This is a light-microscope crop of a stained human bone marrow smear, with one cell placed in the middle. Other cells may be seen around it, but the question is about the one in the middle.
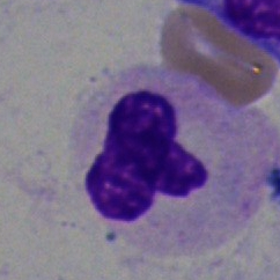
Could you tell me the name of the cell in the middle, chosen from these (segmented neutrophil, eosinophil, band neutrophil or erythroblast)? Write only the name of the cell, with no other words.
segmented neutrophil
